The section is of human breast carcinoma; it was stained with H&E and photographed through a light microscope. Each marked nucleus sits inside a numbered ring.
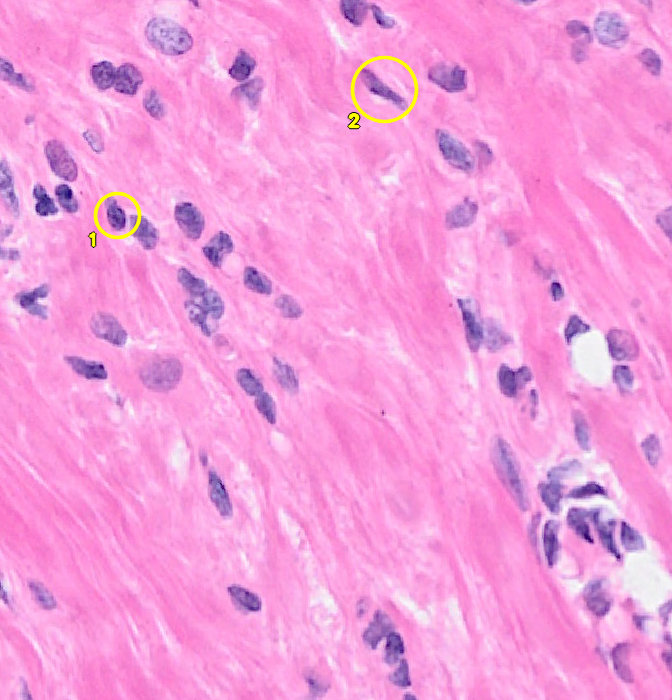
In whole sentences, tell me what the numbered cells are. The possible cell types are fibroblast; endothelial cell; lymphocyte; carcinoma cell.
Cell 1 is a lymphocyte. Cell 2 is a fibroblast.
